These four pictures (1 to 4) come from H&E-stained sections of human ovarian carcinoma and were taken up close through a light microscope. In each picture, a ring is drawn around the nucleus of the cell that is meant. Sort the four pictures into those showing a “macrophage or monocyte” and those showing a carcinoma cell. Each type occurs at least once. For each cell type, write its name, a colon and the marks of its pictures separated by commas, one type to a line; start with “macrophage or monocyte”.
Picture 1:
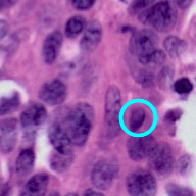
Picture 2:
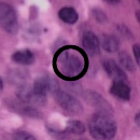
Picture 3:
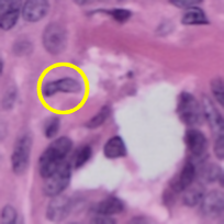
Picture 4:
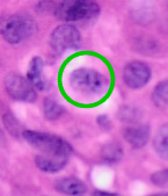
macrophage or monocyte: 3, 4
carcinoma cell: 1, 2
